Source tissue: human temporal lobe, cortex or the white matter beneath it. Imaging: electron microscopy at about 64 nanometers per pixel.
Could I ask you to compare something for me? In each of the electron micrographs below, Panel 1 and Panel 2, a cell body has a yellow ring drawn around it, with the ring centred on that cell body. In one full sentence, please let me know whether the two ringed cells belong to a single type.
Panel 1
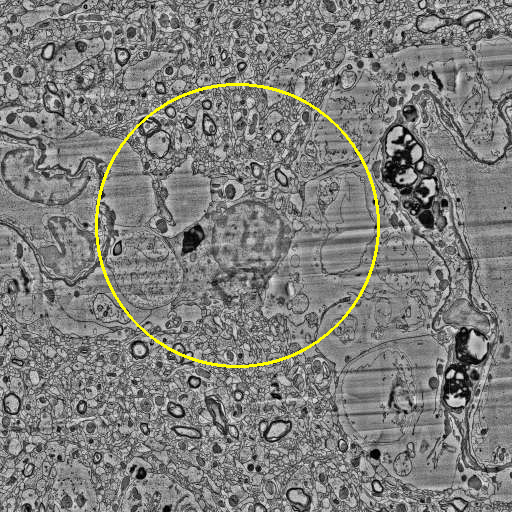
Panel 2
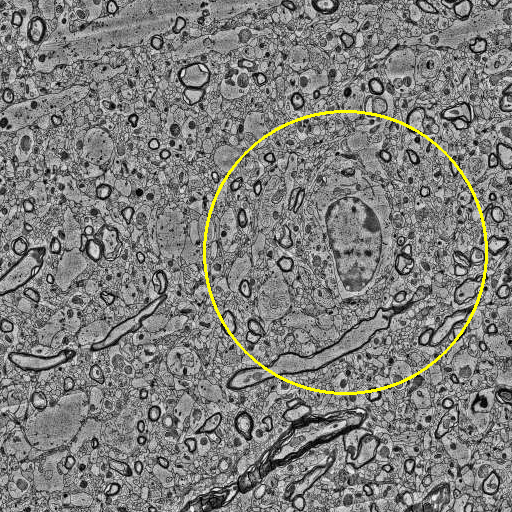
No, the two cells at the centres of the rings are of two types.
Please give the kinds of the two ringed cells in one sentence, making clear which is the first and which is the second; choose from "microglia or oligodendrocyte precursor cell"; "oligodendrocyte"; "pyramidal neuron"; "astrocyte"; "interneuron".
In the second picture the ringed cell is a microglial cell or oligodendrocyte precursor cell; in the first it is an oligodendrocyte.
